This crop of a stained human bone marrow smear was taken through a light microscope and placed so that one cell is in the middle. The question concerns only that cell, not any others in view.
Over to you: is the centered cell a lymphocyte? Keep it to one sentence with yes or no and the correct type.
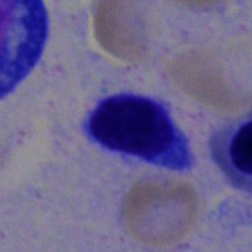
Yes, the middle cell in this crop is a lymphocyte.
